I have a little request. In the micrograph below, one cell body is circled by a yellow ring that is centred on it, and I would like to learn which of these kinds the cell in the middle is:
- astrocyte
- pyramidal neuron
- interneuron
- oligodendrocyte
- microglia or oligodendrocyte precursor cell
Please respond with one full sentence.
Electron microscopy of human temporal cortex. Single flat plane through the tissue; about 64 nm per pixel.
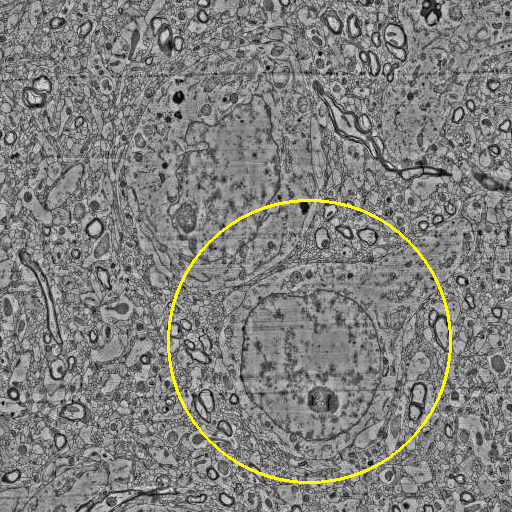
The cell sitting in the middle of the yellow ring in the micrograph is a pyramidal neuron.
